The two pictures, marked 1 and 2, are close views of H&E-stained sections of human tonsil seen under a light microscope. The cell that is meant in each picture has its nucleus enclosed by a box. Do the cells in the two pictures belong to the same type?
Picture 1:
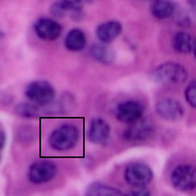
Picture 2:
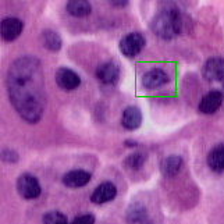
yes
